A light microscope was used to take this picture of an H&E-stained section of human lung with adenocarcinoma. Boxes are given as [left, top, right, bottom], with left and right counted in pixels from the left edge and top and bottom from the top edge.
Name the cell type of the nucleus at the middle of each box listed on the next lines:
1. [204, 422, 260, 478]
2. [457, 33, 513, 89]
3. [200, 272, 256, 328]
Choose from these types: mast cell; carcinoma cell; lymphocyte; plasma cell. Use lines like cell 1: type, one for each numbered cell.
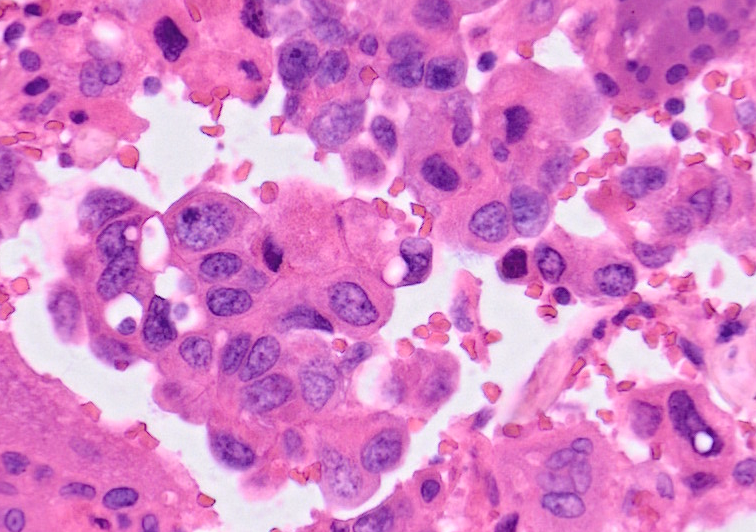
cell 1: carcinoma cell
cell 2: lymphocyte
cell 3: carcinoma cell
